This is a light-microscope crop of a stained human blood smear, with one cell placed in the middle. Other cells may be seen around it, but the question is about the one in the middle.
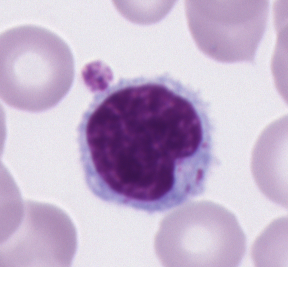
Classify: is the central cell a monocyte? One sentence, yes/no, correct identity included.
No, the central cell is reported as a large granular lymphocyte rather than as a monocyte.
